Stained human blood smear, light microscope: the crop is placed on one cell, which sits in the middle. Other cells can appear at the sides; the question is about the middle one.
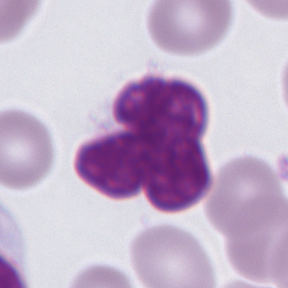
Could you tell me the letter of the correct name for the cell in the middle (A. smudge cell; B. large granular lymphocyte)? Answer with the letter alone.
A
